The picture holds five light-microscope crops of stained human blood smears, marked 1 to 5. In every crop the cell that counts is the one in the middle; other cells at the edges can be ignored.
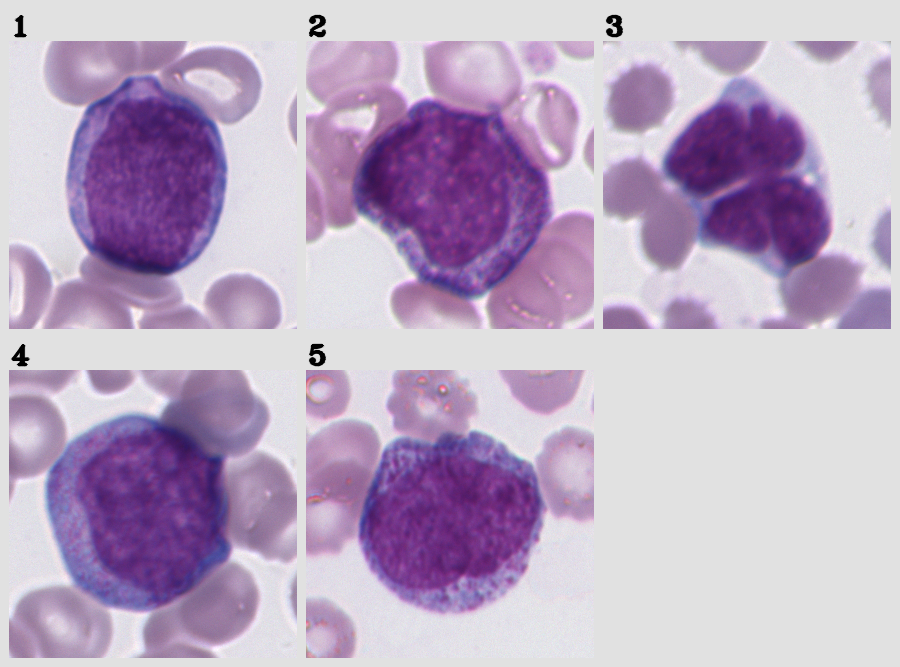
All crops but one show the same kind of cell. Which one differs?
3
